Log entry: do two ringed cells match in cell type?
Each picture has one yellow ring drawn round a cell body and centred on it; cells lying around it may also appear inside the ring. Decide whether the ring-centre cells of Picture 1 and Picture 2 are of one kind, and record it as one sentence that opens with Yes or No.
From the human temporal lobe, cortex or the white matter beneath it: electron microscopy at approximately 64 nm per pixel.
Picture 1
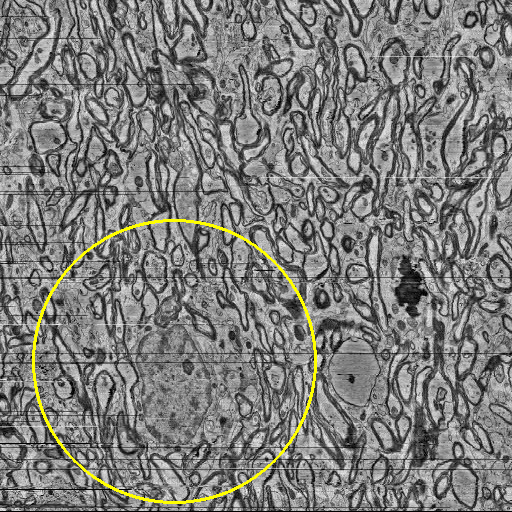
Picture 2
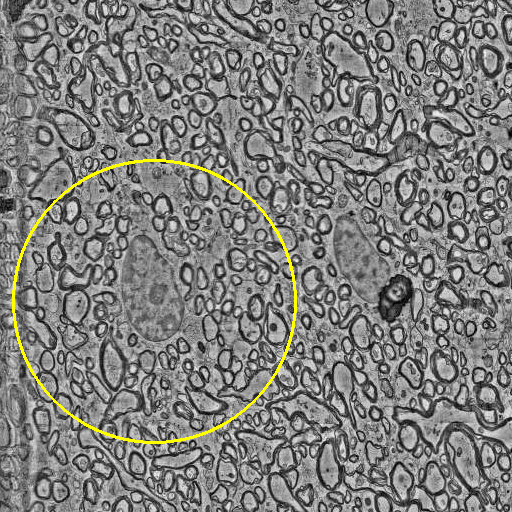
No, the cells at the ring centres of the two pictures belong to two kinds.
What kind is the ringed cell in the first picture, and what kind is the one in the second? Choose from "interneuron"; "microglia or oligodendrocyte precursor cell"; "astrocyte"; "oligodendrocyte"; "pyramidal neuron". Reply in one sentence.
The first cell is an oligodendrocyte; the second is a microglial cell or oligodendrocyte precursor cell.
